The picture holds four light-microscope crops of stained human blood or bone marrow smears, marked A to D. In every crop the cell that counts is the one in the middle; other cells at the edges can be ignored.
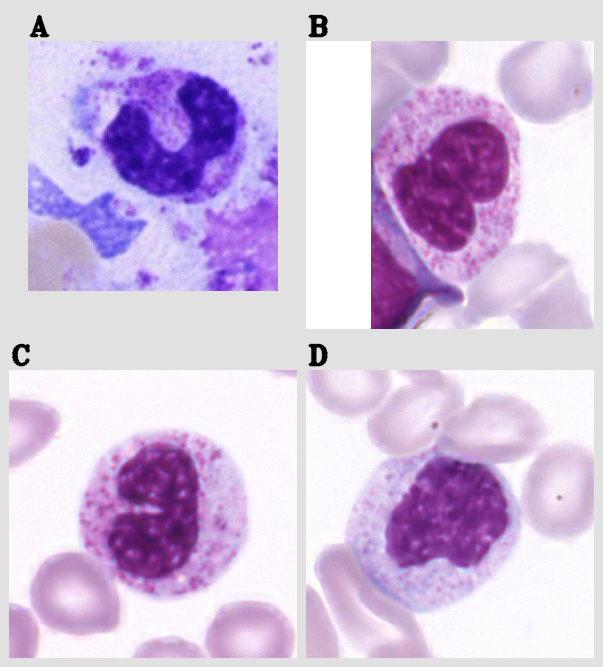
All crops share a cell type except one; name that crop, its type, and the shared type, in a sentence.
Among the crops, crop D is unique in showing a metamyelocyte; the others show band neutrophils.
